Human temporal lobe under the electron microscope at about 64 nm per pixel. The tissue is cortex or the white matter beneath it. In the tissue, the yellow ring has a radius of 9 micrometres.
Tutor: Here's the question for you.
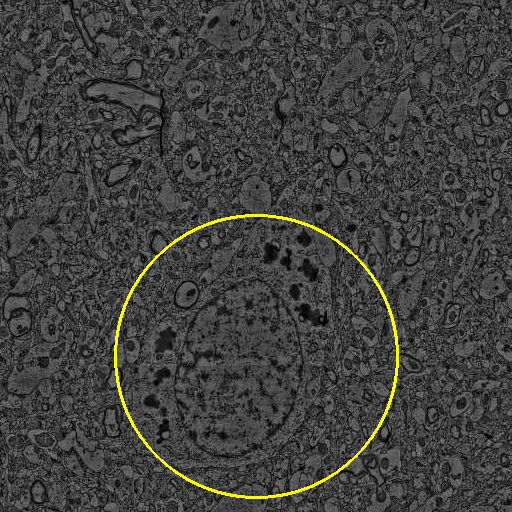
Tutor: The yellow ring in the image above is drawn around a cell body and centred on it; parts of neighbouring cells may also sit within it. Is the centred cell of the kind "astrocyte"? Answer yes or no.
no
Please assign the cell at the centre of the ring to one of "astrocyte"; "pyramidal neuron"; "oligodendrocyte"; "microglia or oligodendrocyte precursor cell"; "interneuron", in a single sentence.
Instead, the cell inside the ring is an interneuron.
